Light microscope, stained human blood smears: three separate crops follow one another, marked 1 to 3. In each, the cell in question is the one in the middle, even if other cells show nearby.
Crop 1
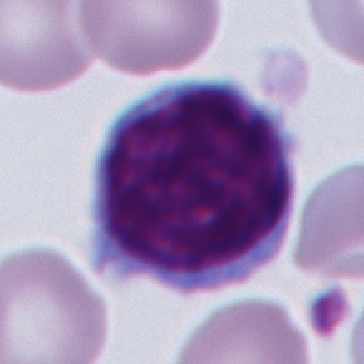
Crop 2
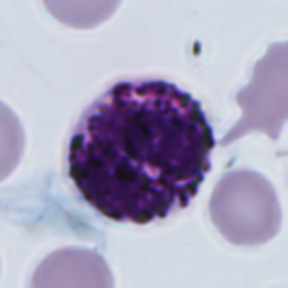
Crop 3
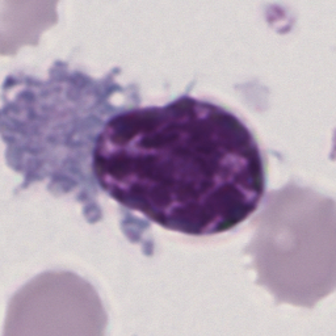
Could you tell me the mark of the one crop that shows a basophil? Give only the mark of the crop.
2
